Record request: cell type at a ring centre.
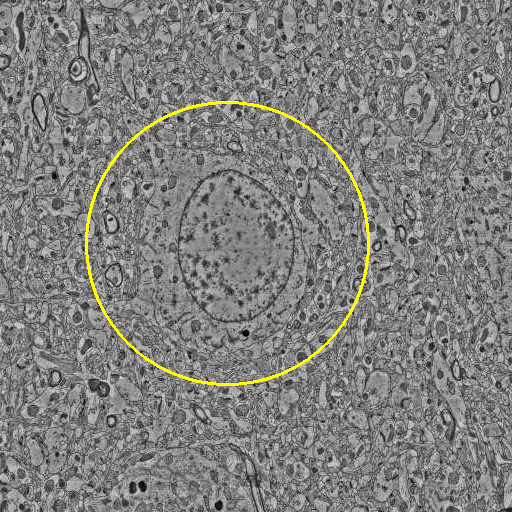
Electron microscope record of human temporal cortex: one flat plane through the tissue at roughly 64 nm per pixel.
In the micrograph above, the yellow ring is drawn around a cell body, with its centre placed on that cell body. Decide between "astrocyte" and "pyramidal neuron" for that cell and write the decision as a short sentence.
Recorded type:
The cell centred in the yellow ring is a pyramidal neuron.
